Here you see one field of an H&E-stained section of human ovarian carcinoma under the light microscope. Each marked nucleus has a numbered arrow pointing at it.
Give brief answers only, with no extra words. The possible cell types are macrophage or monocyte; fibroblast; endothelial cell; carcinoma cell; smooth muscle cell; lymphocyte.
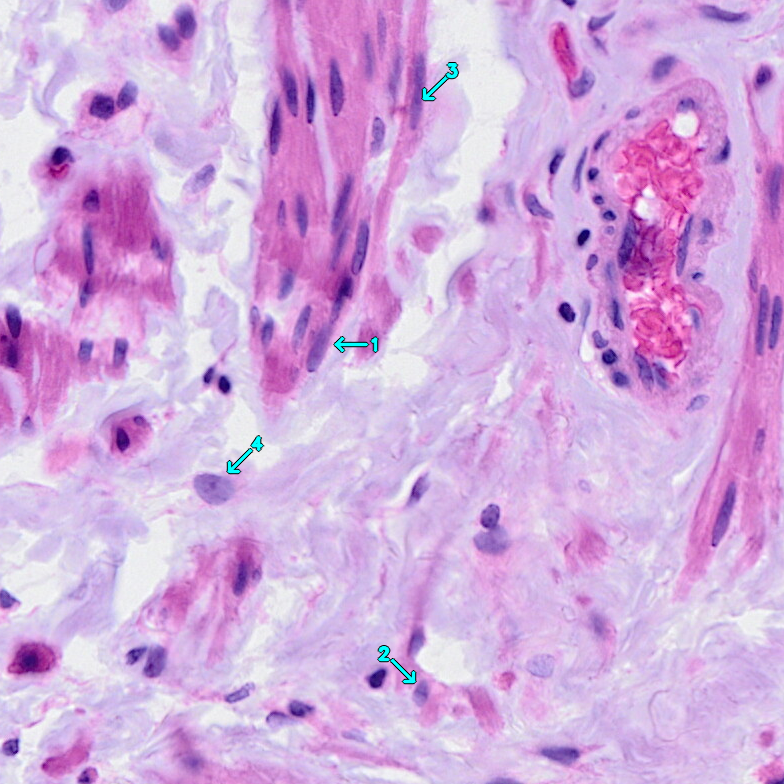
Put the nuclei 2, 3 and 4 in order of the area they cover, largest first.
4, 3, 2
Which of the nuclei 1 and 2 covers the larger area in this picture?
1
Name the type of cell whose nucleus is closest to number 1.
smooth muscle cell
